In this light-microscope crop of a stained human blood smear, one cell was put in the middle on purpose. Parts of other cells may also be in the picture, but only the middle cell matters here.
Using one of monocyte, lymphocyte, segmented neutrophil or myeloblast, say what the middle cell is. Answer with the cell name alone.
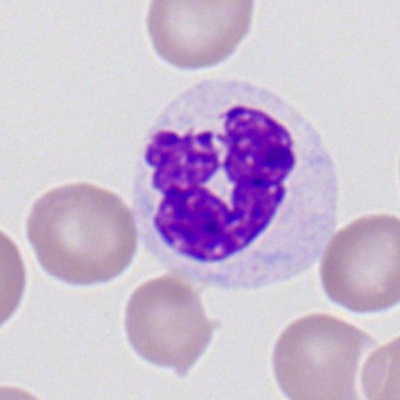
segmented neutrophil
